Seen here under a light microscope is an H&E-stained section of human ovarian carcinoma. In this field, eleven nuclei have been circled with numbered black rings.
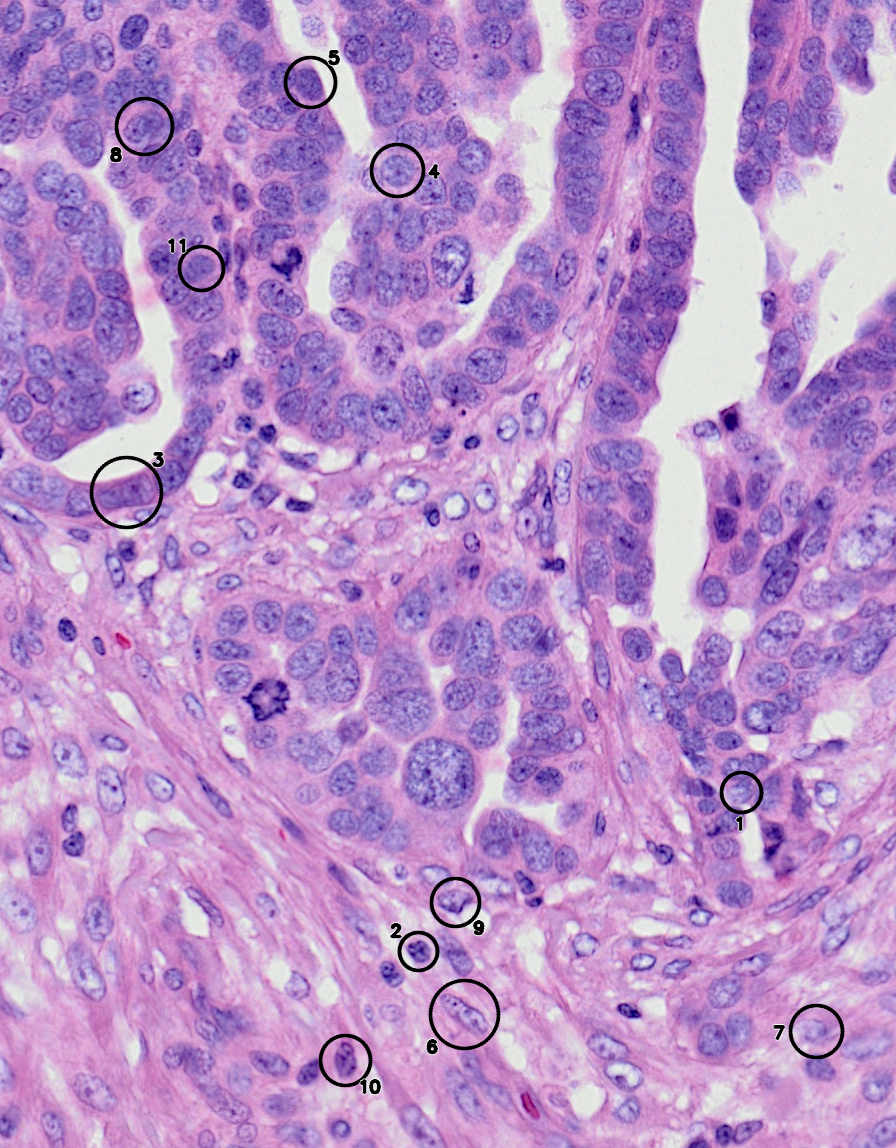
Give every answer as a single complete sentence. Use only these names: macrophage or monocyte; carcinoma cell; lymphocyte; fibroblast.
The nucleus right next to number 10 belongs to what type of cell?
The cell nearest to number 10 is a lymphocyte.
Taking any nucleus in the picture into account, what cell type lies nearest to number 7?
It is a macrophage or monocyte whose nucleus is nearest to number 7.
